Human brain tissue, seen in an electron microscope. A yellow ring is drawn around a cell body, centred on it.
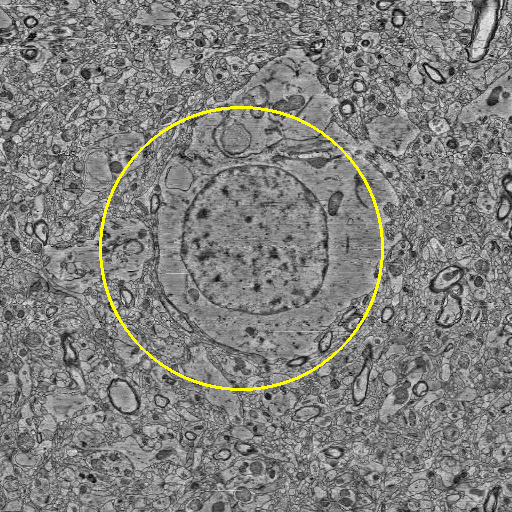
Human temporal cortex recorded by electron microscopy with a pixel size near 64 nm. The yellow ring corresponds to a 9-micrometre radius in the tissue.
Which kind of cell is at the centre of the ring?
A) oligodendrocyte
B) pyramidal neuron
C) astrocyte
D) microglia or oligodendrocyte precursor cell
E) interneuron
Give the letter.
C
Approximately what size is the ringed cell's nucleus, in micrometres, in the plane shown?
In this plane, roughly 10 micrometres across.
